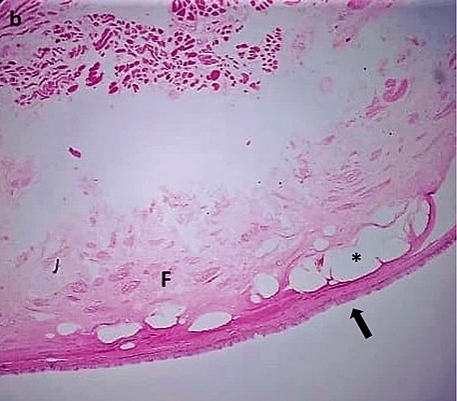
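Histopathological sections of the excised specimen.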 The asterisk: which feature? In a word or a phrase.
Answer: Cystic spaces.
